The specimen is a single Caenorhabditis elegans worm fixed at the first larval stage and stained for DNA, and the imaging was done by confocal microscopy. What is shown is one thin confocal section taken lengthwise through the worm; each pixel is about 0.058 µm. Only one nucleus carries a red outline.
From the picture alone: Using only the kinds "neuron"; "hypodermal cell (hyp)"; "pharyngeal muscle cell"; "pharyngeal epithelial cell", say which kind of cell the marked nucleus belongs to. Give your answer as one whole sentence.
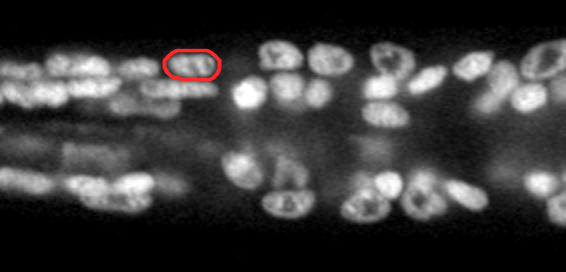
This is the nucleus of a hypodermal cell (hyp).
